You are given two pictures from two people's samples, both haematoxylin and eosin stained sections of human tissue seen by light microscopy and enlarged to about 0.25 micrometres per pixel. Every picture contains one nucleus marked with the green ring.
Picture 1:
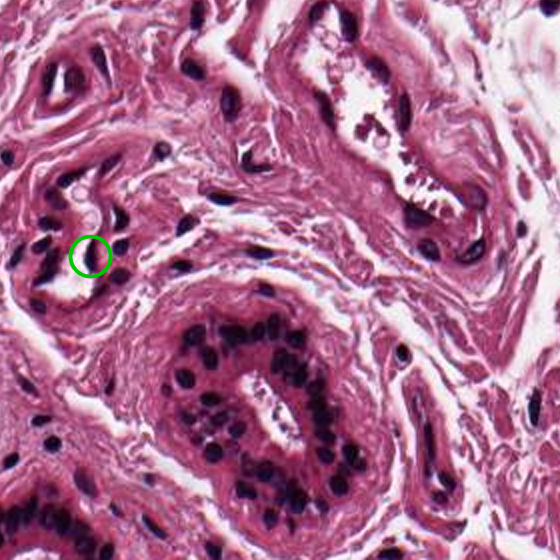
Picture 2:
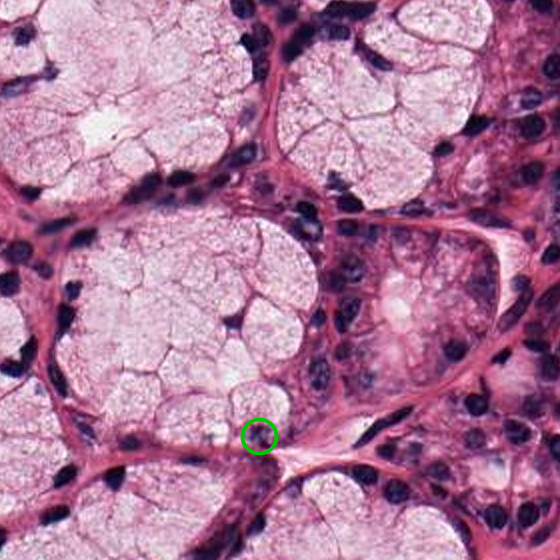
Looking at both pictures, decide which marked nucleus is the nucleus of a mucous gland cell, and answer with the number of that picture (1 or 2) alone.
2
